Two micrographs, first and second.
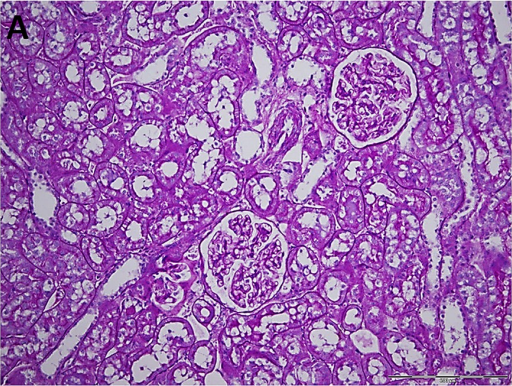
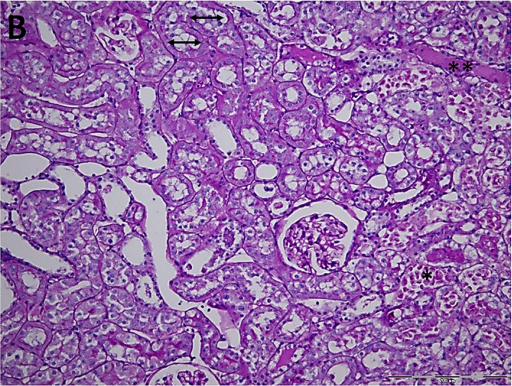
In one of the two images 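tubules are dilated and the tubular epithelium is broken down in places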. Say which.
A: the second image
